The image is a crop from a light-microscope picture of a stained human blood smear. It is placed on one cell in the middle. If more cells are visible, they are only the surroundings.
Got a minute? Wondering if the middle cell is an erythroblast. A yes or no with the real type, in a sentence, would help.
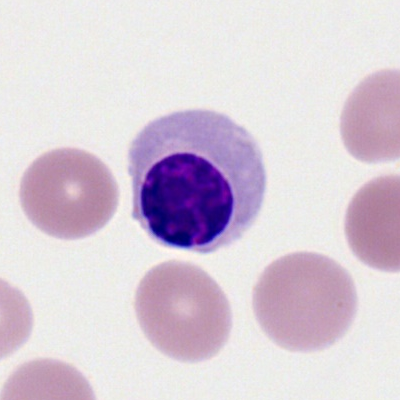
Yes, the cell occupying the middle of the crop is an erythroblast.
